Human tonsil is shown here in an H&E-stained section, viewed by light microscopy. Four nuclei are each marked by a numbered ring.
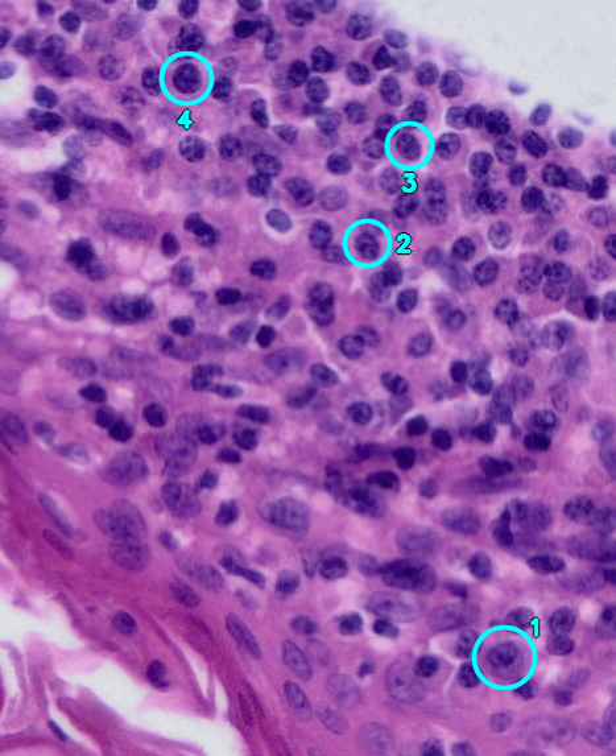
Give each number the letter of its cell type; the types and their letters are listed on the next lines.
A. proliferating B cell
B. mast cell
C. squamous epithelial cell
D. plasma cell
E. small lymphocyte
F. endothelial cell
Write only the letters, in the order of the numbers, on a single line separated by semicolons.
C; D; D; D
